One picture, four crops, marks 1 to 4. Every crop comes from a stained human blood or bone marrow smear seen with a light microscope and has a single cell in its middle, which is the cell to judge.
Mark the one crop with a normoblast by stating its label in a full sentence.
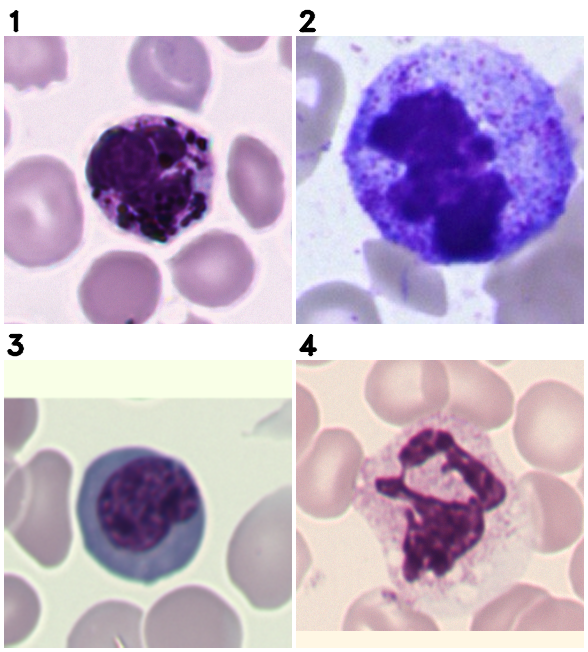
Among the crops, only crop 3 contains a normoblast.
